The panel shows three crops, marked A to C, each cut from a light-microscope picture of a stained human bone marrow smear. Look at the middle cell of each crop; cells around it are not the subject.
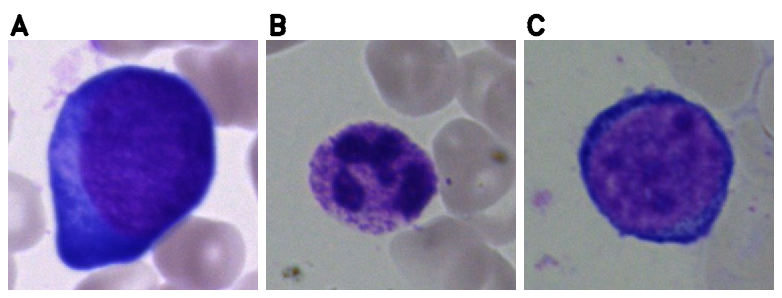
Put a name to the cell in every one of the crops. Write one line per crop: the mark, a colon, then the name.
A: proerythroblast
B: segmented neutrophil
C: proerythroblast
